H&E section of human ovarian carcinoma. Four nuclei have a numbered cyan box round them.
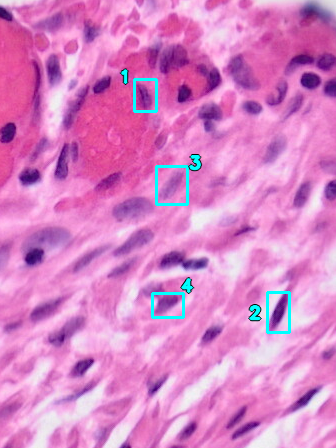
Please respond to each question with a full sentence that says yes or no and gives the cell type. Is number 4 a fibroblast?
Yes, in this tissue section, number 4 is a fibroblast.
